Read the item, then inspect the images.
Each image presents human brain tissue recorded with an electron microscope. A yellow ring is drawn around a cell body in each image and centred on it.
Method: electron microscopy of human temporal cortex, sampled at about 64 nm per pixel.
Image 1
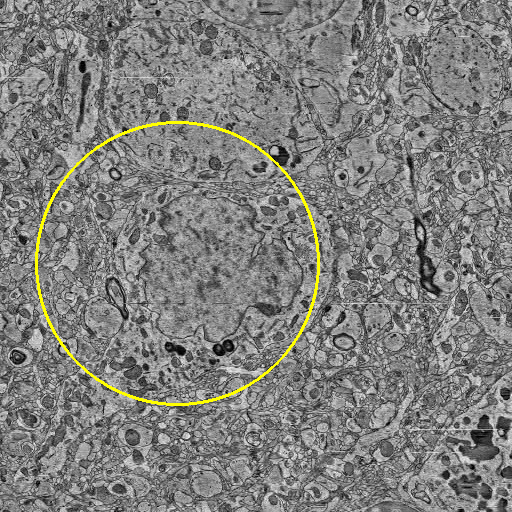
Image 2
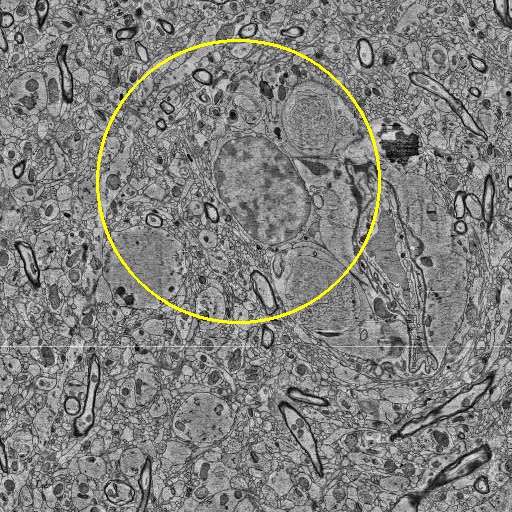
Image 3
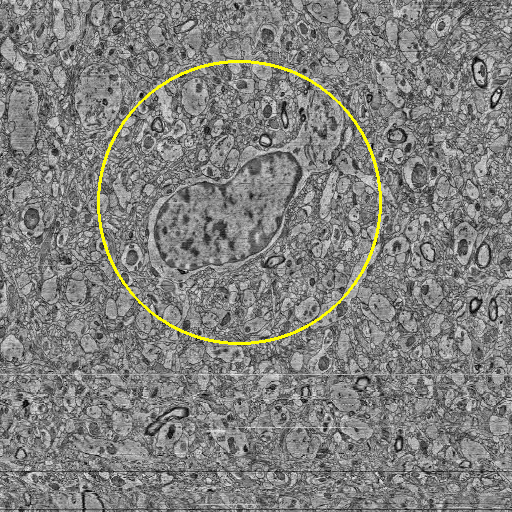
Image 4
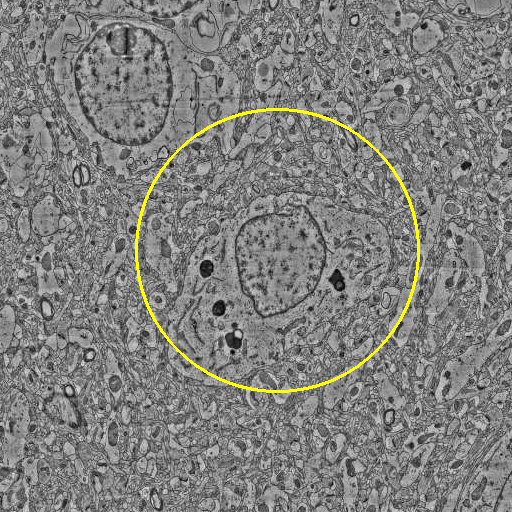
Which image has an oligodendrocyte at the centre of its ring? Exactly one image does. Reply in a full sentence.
The ring in Image 2 is centred on it.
